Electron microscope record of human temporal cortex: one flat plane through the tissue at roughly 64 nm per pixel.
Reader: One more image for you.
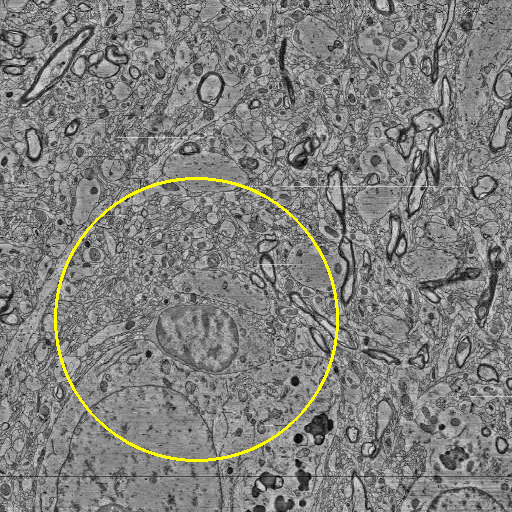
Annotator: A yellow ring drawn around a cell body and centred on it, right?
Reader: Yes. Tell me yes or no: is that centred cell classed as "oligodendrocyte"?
yes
